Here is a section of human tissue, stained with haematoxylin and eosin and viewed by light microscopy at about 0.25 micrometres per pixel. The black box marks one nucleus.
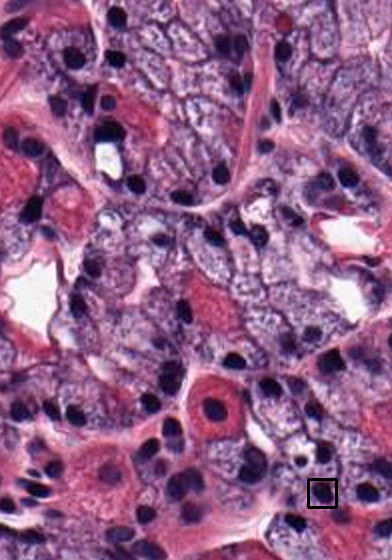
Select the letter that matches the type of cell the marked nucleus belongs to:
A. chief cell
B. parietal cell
A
